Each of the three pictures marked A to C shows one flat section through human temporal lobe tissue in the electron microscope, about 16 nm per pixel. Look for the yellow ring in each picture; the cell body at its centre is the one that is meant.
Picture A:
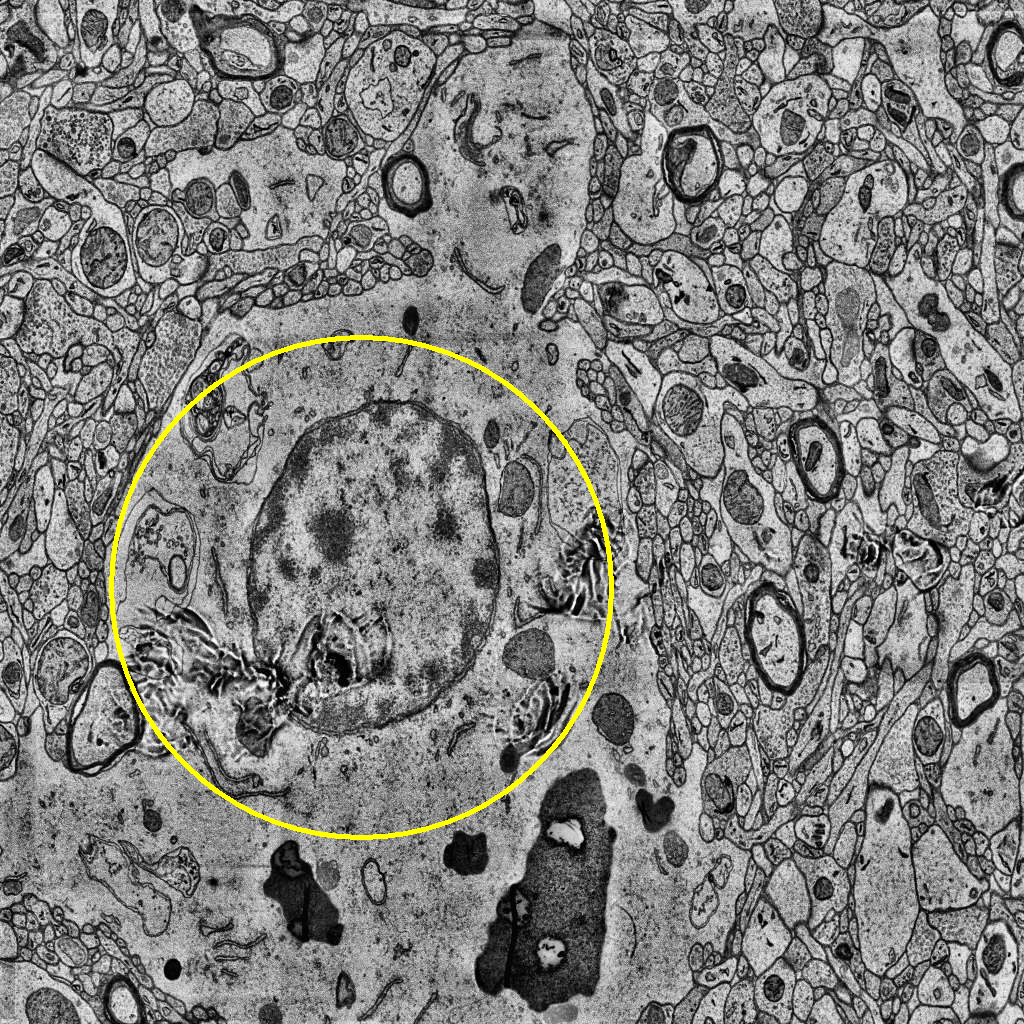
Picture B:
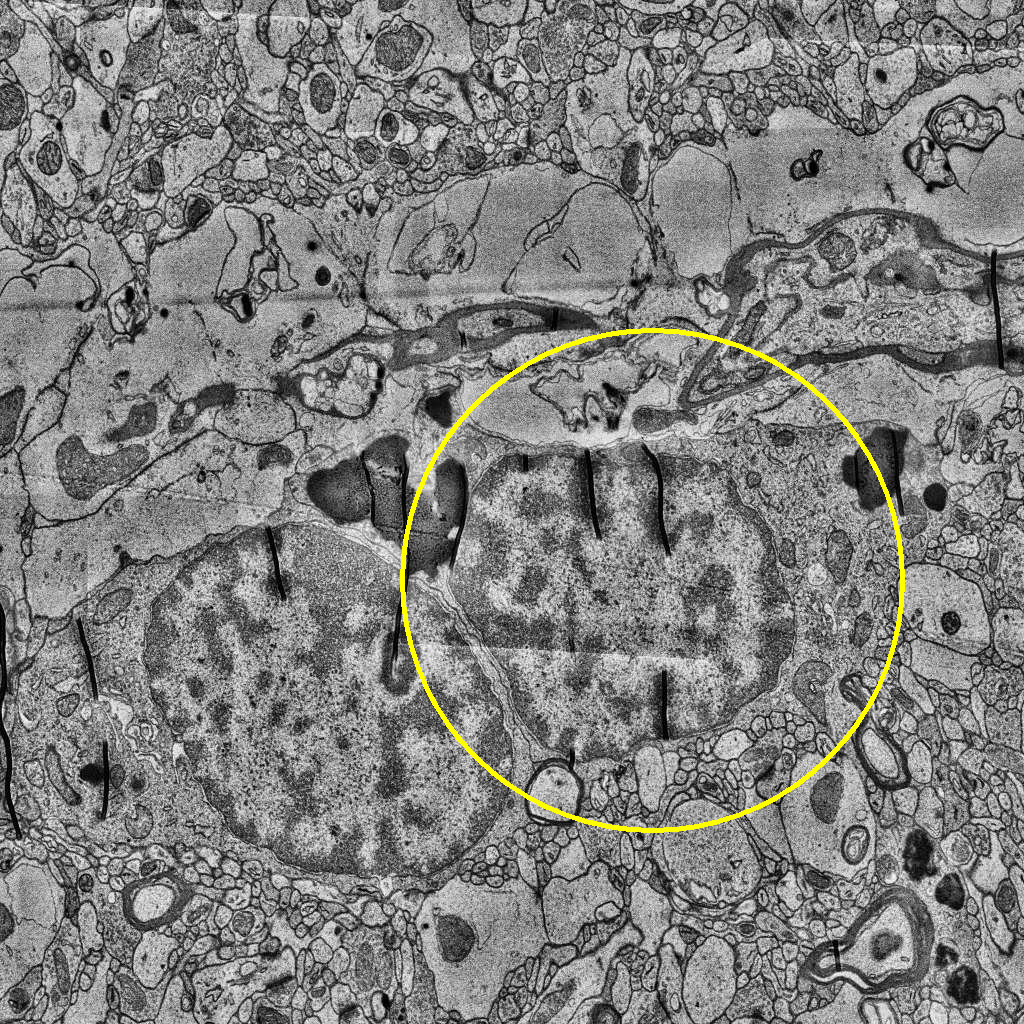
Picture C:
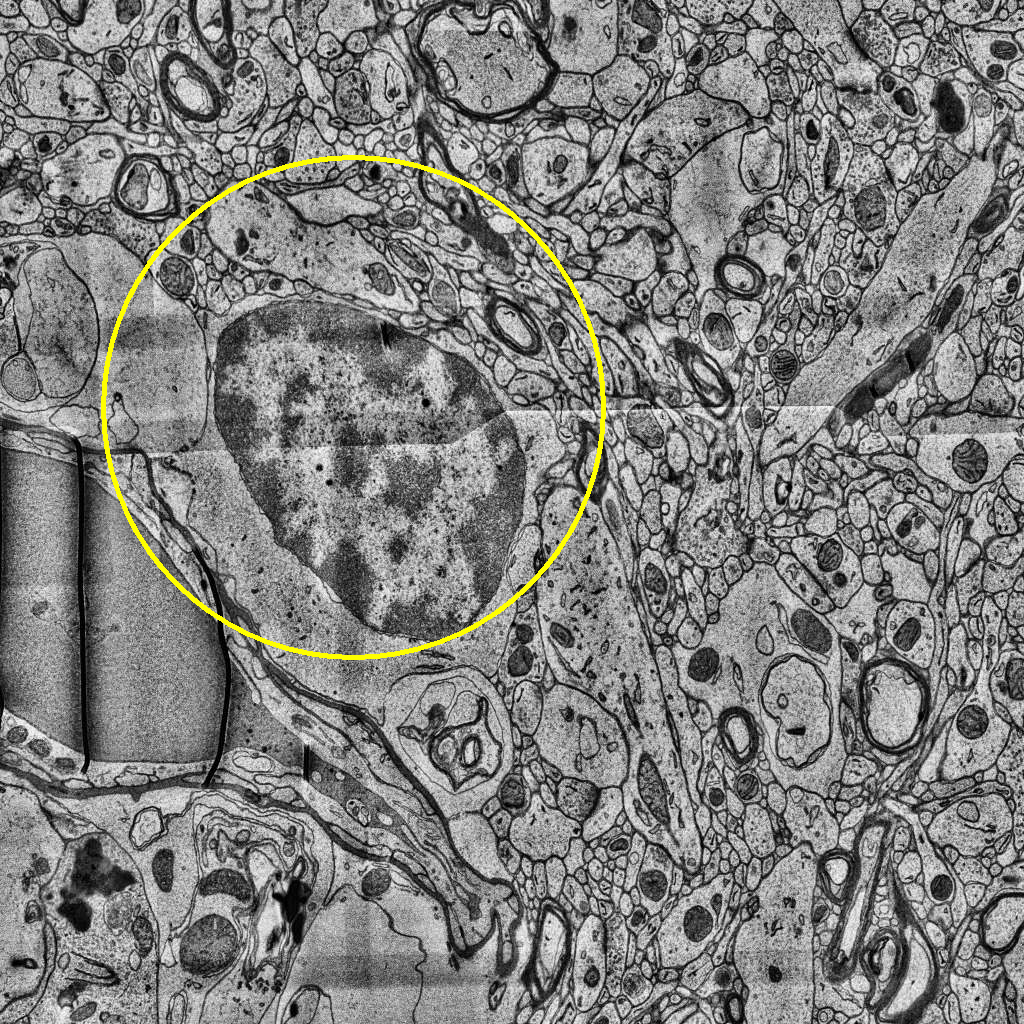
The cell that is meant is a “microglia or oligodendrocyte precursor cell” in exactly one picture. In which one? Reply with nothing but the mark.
C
